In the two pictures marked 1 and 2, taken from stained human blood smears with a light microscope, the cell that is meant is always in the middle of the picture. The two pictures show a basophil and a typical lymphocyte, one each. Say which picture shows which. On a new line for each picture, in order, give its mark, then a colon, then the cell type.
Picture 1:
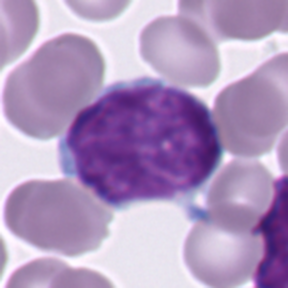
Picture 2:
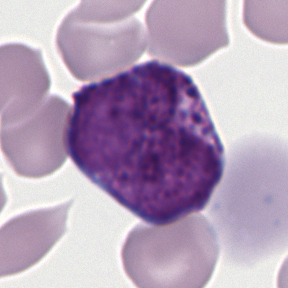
1: typical lymphocyte
2: basophil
